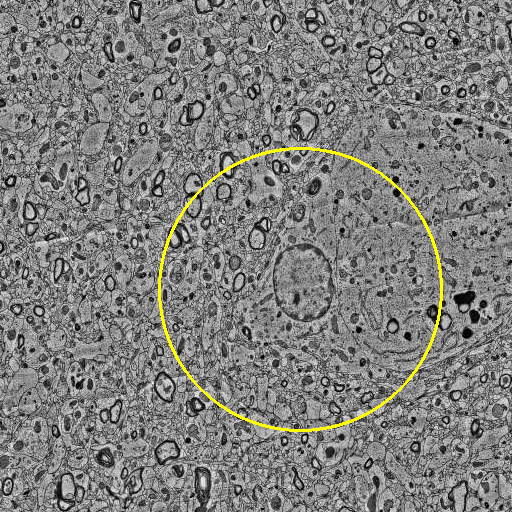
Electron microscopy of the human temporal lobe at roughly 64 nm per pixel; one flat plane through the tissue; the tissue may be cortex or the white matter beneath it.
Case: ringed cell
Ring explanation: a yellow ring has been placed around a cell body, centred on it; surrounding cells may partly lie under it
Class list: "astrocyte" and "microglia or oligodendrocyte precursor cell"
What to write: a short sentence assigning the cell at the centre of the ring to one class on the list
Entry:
The cell at the ring's centre is a microglial cell or oligodendrocyte precursor cell.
